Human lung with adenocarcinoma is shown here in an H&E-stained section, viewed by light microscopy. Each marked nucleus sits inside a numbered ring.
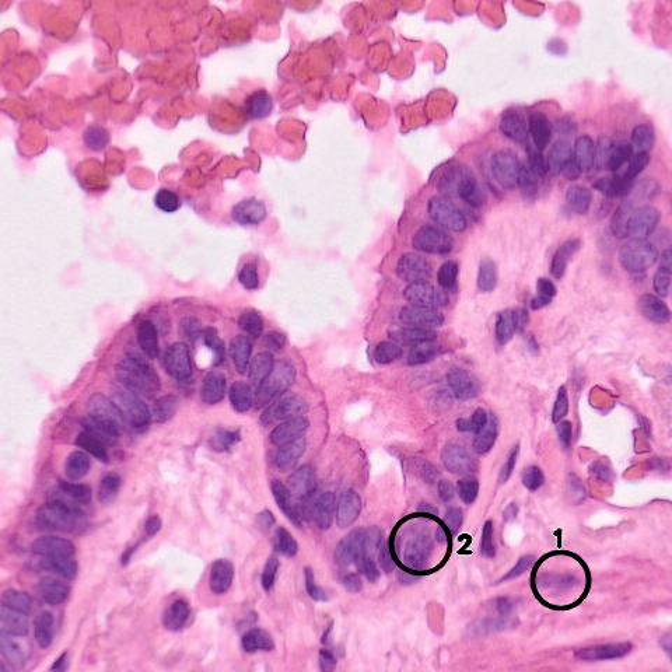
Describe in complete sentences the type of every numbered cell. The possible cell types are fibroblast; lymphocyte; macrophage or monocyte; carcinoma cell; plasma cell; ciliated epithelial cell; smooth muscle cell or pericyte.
Cell 1 is a smooth muscle cell or pericyte and cell 2 is a ciliated epithelial cell.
